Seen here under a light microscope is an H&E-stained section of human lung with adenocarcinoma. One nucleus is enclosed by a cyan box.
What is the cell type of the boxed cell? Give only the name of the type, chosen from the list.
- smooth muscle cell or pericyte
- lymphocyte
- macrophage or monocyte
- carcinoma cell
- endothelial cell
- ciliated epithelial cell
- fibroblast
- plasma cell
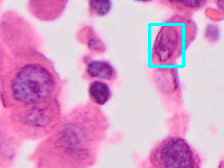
macrophage or monocyte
